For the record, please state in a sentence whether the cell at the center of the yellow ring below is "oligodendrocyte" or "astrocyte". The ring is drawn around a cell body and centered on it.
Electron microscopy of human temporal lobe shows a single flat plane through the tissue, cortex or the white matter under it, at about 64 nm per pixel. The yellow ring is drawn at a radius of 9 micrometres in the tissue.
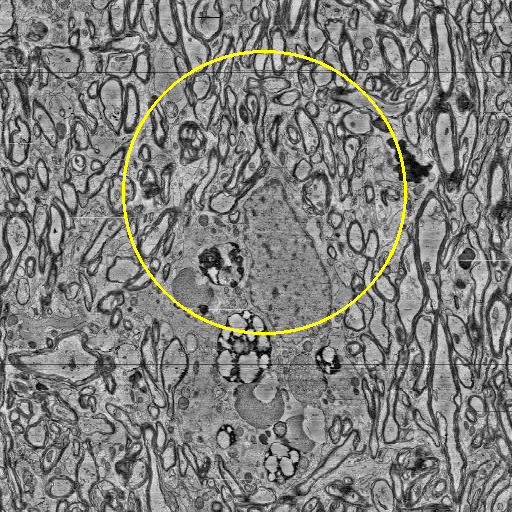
The cell at the ring's center is an astrocyte.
